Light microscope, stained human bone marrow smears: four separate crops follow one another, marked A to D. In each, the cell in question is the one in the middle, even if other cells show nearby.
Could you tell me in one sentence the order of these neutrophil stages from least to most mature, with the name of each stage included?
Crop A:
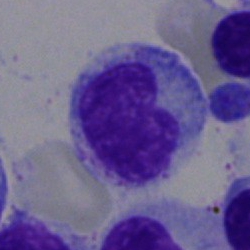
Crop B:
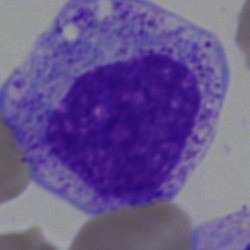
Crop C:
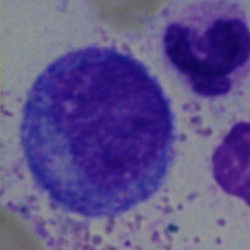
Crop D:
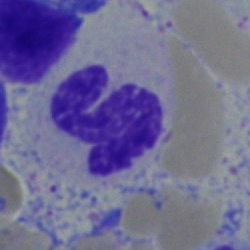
Once sorted from least to most mature, the sequence is crop C (a promyelocyte), crop B (a myelocyte), crop A (a metamyelocyte) and crop D (a band neutrophil).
